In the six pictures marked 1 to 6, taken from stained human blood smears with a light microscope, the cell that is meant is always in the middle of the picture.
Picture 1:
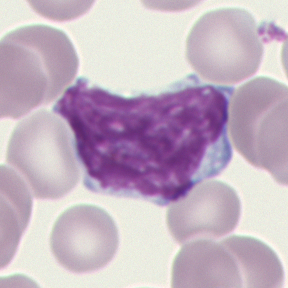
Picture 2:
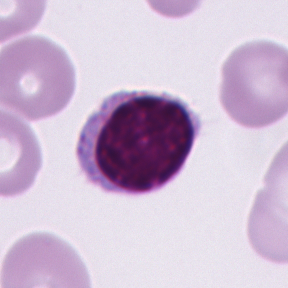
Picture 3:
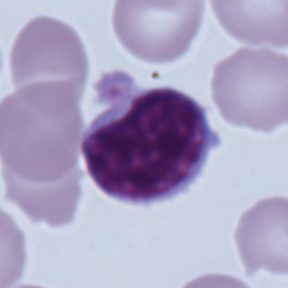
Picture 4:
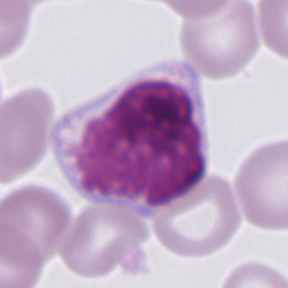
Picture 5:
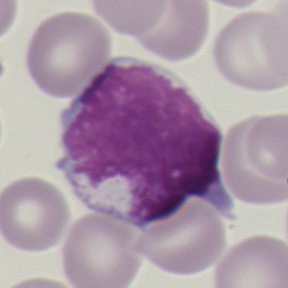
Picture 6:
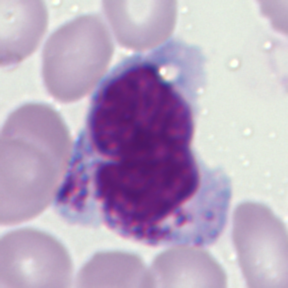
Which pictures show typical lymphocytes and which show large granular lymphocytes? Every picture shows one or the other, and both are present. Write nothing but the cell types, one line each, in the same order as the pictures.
typical lymphocyte
typical lymphocyte
typical lymphocyte
large granular lymphocyte
large granular lymphocyte
large granular lymphocyte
